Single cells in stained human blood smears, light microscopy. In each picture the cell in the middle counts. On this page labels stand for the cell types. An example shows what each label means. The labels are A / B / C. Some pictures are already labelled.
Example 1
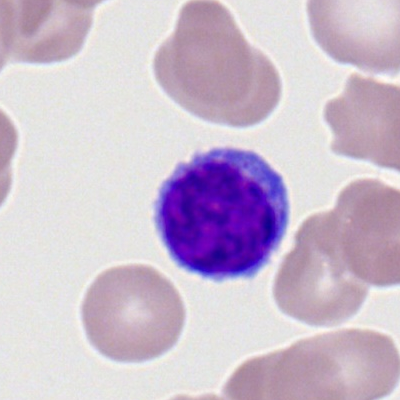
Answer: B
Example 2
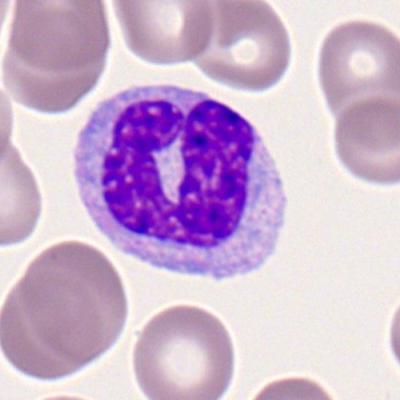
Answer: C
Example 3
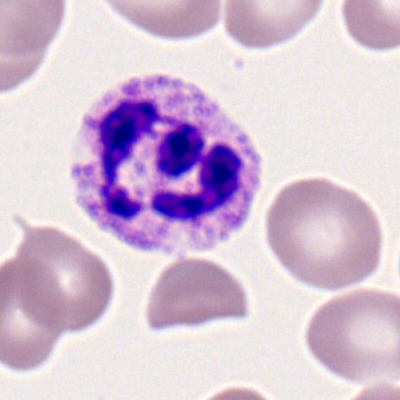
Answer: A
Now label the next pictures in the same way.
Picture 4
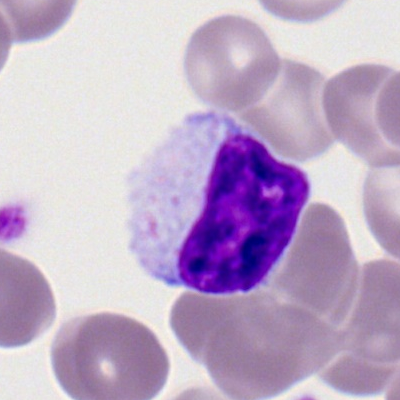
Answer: B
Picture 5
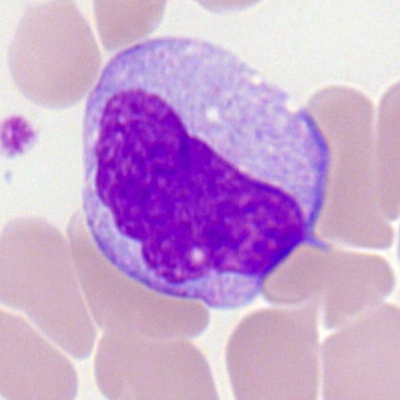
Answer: C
